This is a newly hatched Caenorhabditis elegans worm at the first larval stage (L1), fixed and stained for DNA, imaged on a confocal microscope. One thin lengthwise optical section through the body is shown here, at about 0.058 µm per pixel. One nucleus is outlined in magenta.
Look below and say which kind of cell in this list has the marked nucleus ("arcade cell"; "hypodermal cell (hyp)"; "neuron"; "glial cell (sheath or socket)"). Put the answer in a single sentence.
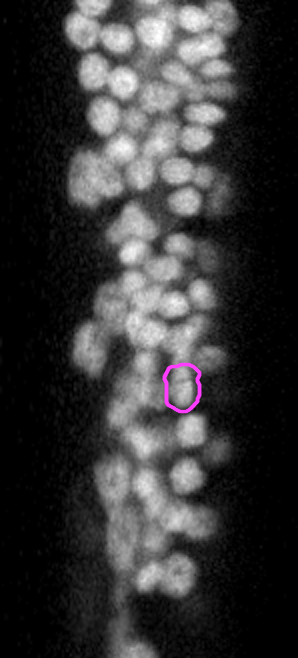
The cell with the marked nucleus is a glial cell (sheath or socket).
